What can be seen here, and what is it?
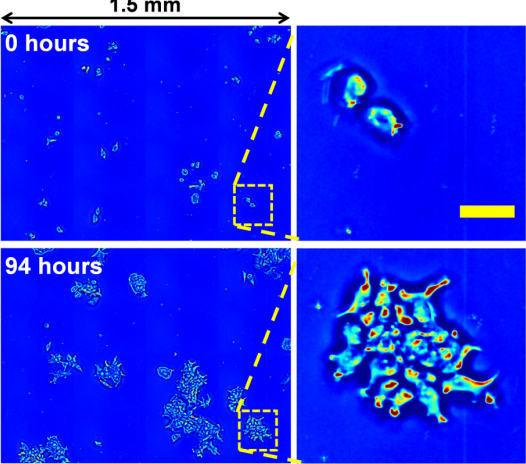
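In the upper row the cells are few, small and scattered singly or in pairs, and the enlargement shows two rounded cells side by side. In the lower row the same field is crowded with groups of cells, and the enlargement shows a dense cluster of many irregular, partly elongated cells with bright red centres.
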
